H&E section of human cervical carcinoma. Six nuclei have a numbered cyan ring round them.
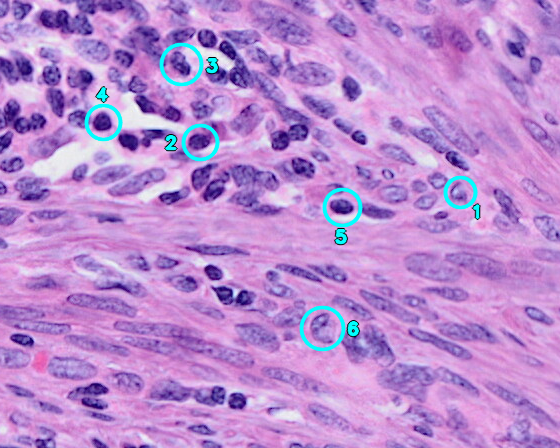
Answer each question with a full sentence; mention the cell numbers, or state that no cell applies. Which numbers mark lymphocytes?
The cells tagged with numbers 2, 3, 4 and 5 are lymphocytes.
